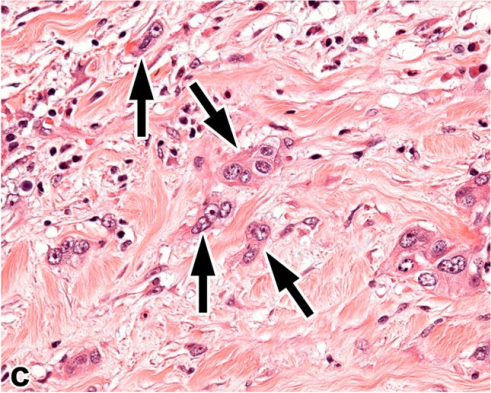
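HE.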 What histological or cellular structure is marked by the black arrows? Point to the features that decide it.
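The marked cells have large nuclei with visible nucleoli, unlike the surrounding stromal cells. On this evidence: buds.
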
